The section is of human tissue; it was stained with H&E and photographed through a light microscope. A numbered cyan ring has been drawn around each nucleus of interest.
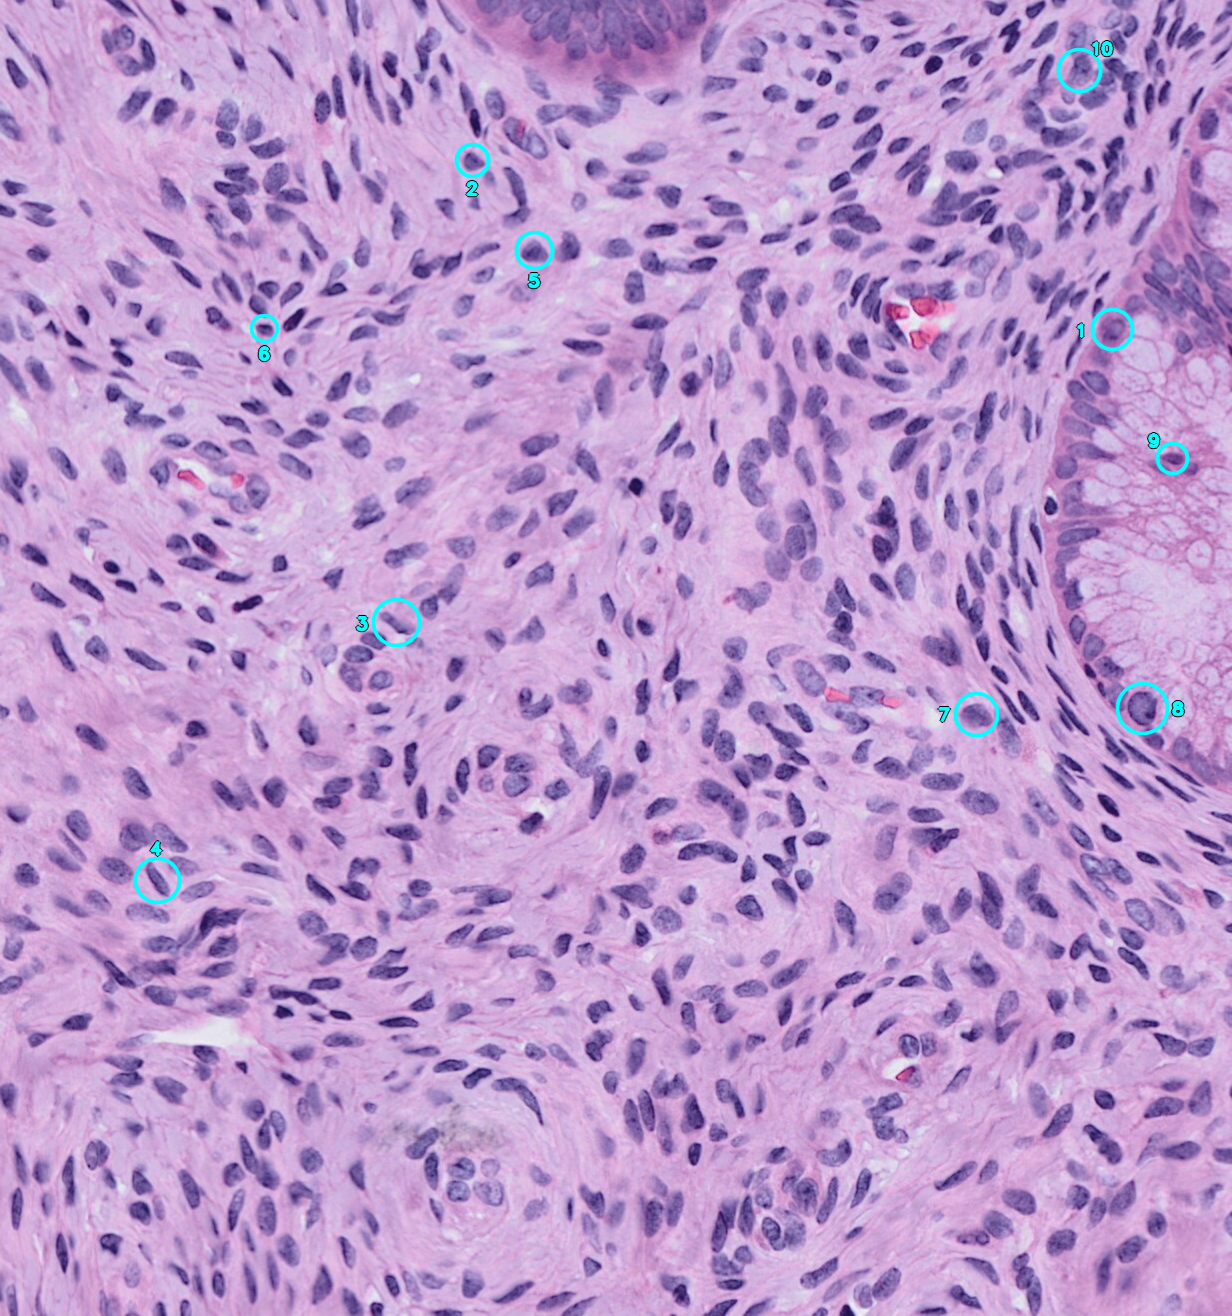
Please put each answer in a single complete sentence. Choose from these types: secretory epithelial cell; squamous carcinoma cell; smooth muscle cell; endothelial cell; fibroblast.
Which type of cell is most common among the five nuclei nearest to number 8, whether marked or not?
Of the five nuclei nearest to number 8, most belong to secretory epithelial cells.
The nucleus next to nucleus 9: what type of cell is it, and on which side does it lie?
A secretory epithelial cell lies closest, below and to the left of nucleus 9.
